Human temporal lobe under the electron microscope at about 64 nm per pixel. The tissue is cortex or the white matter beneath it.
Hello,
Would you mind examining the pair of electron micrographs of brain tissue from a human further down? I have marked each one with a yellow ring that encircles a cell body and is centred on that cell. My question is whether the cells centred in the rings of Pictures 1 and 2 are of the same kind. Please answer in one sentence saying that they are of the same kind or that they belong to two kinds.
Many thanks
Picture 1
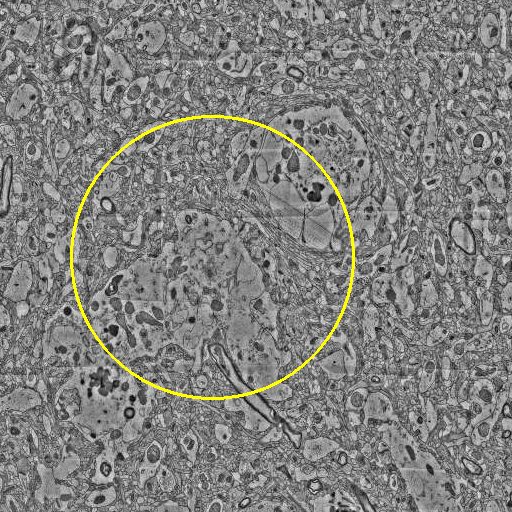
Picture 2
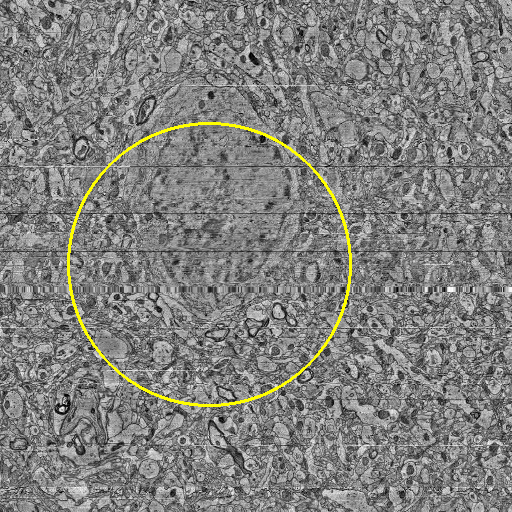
In Pictures 1 and 2, the cells at the heart of the rings belong to two kinds.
